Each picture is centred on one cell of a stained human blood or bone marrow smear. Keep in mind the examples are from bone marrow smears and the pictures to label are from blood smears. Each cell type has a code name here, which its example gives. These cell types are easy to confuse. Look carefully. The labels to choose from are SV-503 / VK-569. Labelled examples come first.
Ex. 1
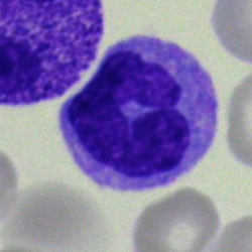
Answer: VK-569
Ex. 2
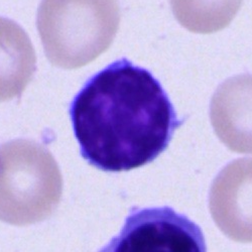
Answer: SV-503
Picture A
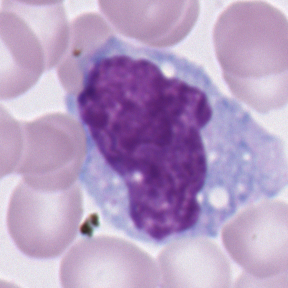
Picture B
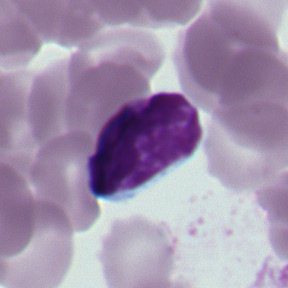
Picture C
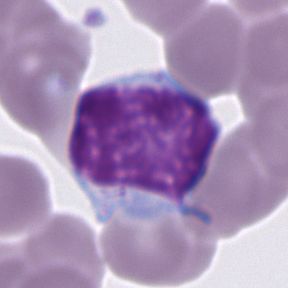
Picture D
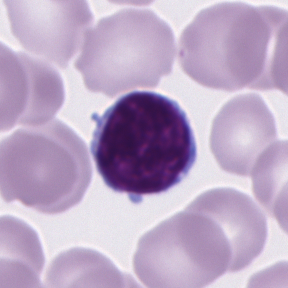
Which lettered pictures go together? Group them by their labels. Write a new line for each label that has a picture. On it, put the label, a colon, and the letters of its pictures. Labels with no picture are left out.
SV-503: B, C, D
VK-569: A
